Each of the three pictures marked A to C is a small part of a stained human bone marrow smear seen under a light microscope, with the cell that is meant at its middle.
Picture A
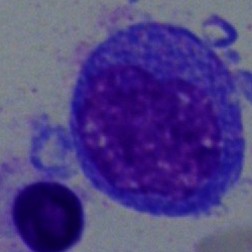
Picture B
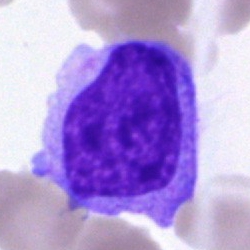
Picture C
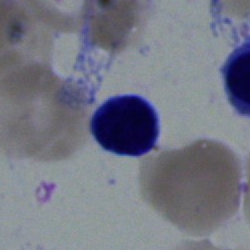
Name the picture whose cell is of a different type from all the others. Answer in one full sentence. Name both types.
The others show blasts, but picture C shows a lymphocyte.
